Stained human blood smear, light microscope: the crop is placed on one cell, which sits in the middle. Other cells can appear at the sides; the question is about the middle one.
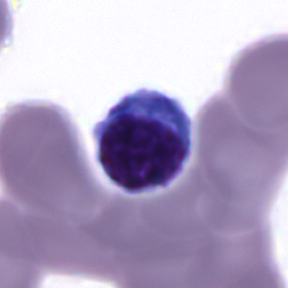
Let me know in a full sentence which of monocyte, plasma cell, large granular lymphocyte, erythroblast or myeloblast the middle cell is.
In the middle of this smear crop is a plasma cell.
